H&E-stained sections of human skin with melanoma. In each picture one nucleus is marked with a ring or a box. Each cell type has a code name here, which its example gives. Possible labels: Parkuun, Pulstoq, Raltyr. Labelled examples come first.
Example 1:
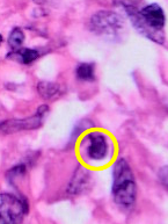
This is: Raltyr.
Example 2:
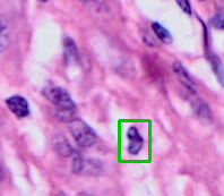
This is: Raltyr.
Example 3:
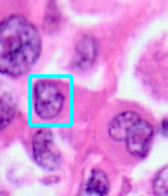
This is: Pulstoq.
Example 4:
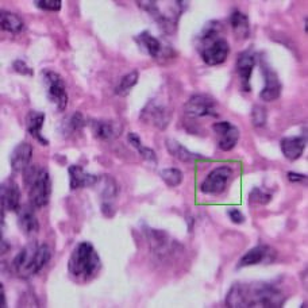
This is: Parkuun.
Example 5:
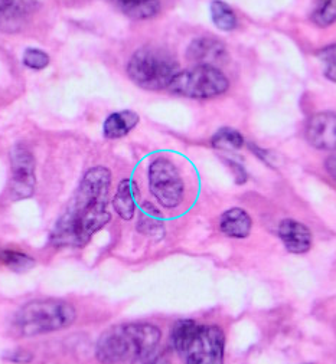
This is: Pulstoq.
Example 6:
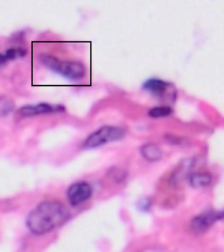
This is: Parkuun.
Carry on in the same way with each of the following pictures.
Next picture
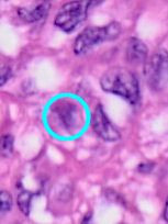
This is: Pulstoq.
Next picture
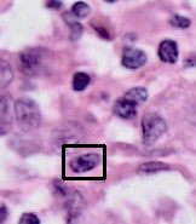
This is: Raltyr.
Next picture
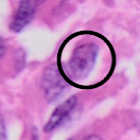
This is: Pulstoq.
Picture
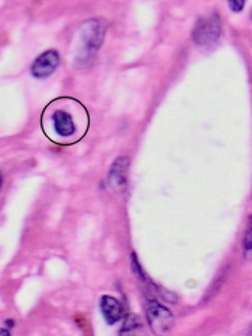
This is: Raltyr.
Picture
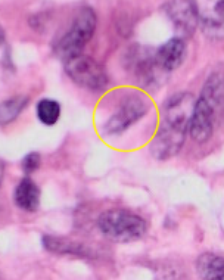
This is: Pulstoq.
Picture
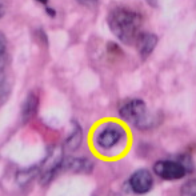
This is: Raltyr.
